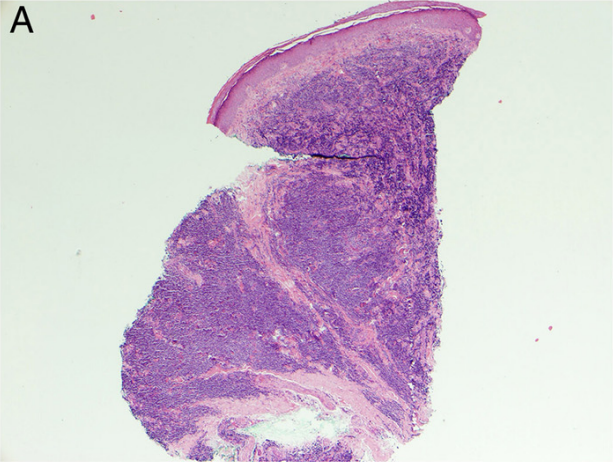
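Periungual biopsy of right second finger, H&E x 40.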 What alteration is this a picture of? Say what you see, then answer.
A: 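Diffuse dermal infiltration by monomorphous lymphoid infiltrate. A dense sheet of small dark-blue cells fills the dermis beneath the epidermis. The infiltrate spreads through most of the dermis rather than forming a small focus. The infiltrating cells look alike at this power.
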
